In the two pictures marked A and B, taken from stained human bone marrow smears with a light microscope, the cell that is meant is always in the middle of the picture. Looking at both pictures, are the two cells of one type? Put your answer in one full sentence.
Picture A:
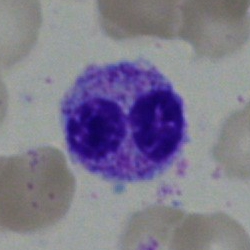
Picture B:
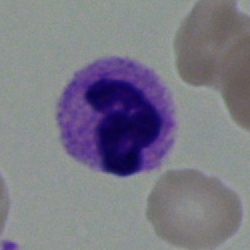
Yes; the cells in both pictures are segmented neutrophils.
